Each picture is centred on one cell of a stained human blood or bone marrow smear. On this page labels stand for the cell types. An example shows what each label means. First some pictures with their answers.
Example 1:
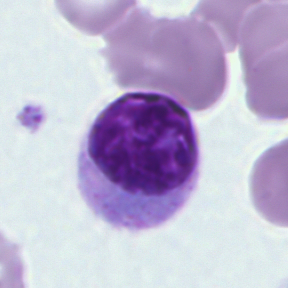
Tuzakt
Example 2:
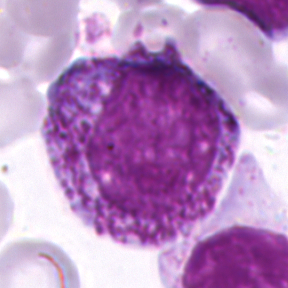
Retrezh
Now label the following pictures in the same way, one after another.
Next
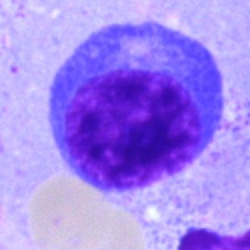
Tuzakt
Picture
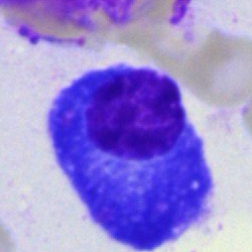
Tuzakt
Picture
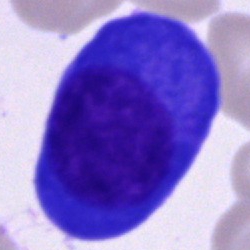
Tuzakt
